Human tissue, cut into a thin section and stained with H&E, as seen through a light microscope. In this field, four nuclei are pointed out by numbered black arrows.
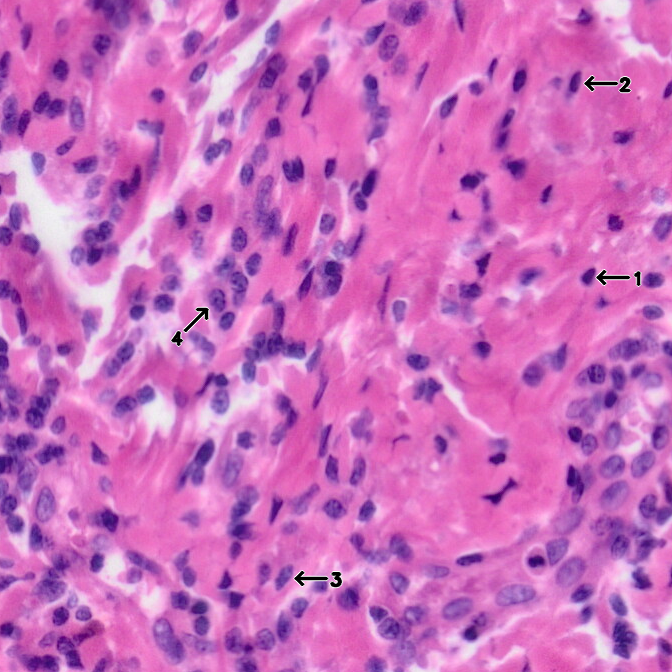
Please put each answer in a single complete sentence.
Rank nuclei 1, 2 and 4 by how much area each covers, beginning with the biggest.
Going from the biggest nucleus down to the smallest gives 4, 2, 1.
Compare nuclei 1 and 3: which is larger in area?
At about 2 times the area of nucleus 1, nucleus 3 is the larger of the two.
